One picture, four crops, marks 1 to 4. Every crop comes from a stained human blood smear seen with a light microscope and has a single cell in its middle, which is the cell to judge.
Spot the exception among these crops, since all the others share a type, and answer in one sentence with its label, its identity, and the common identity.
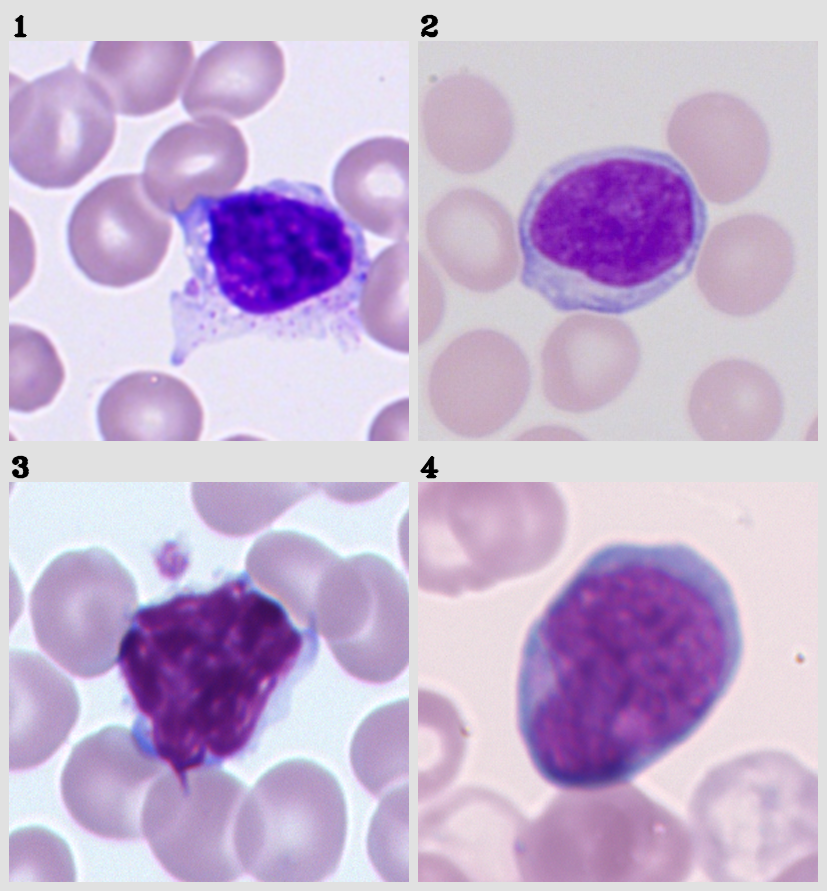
Crop 4 alone shows a blast; the other crops are all lymphocytes.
